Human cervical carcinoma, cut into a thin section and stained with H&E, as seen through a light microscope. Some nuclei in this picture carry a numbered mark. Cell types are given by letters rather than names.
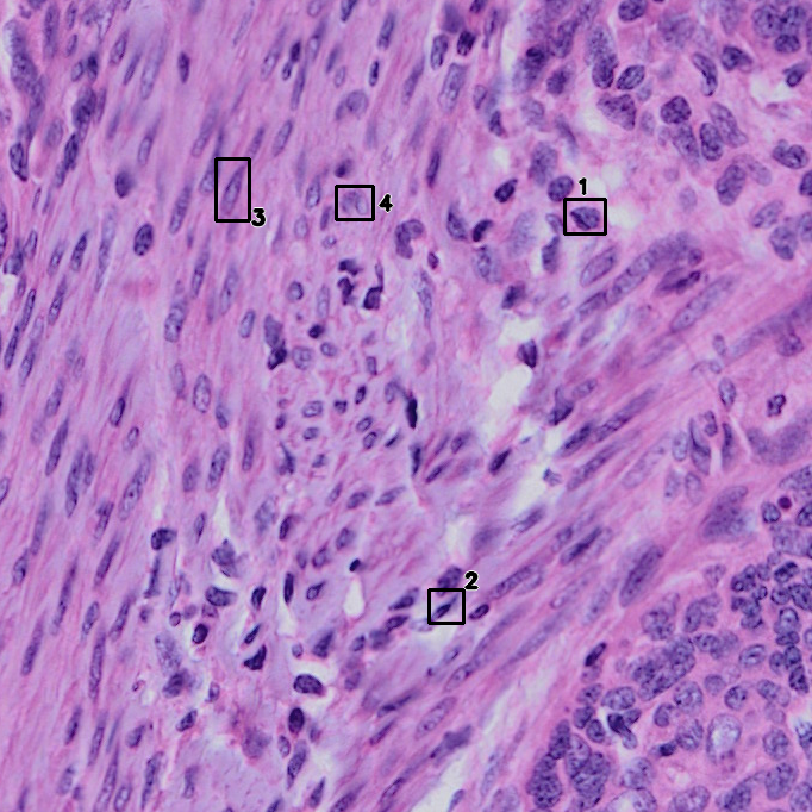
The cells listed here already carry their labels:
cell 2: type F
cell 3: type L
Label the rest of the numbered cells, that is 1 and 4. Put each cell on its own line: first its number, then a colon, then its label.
1: type F
4: type L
